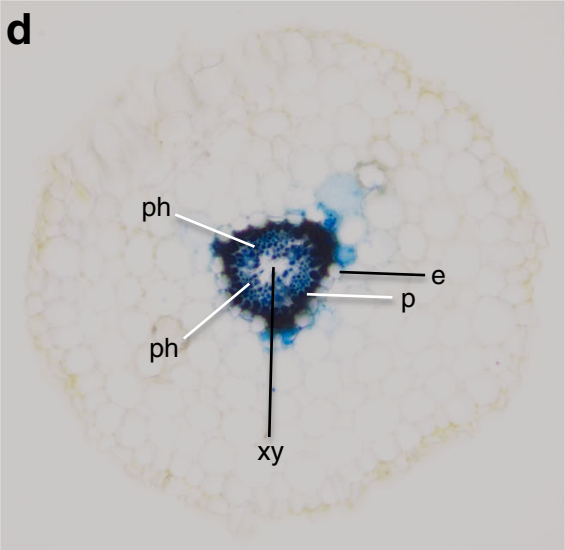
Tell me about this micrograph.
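This is a transverse section of a root, with a wide cortex of large, rounded, thin-walled parenchyma cells surrounding a small central vascular cylinder. The outermost layer is a single row of small cells with a faint yellowish tinge. At the centre lies a compact stele of small, tightly packed cells, with a pale core of open xylem cells flanked by phloem groups. The blue stain is densest in the cells around the stele, including the pericycle and phloem, and spreads into some endodermal cells bordering the cortex. The cortex itself remains almost entirely unstained.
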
